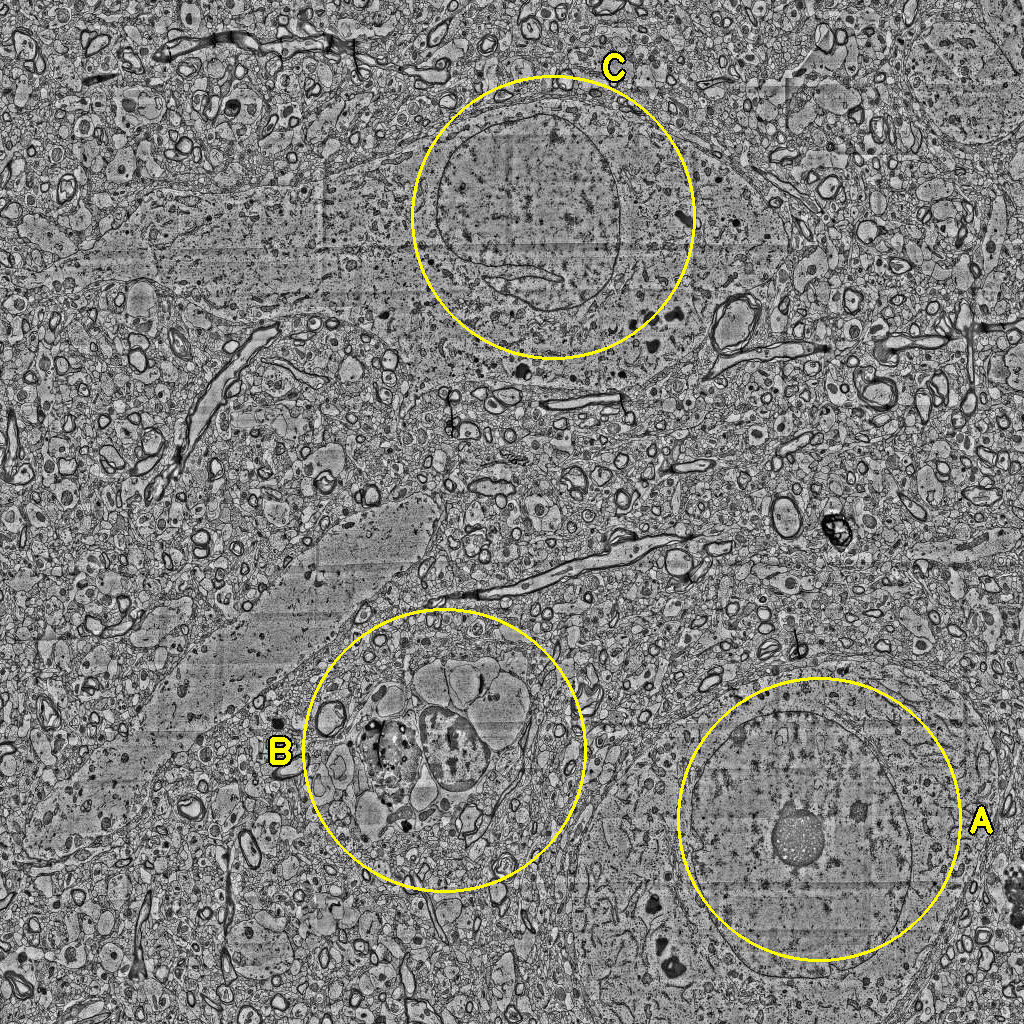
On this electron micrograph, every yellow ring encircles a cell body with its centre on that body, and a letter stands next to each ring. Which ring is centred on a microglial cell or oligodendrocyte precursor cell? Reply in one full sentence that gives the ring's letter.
Ring B is the ring that has the cell asked for in its centre.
